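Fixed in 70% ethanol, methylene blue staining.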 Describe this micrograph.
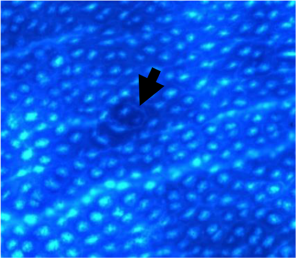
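The crypt openings show as small, evenly spaced pale dots across a blue background. Where the arrow points, the regular pattern is broken by a darker, somewhat larger oval focus, outlined by a deeper blue rim. It stands out from the surrounding normal-looking crypts.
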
